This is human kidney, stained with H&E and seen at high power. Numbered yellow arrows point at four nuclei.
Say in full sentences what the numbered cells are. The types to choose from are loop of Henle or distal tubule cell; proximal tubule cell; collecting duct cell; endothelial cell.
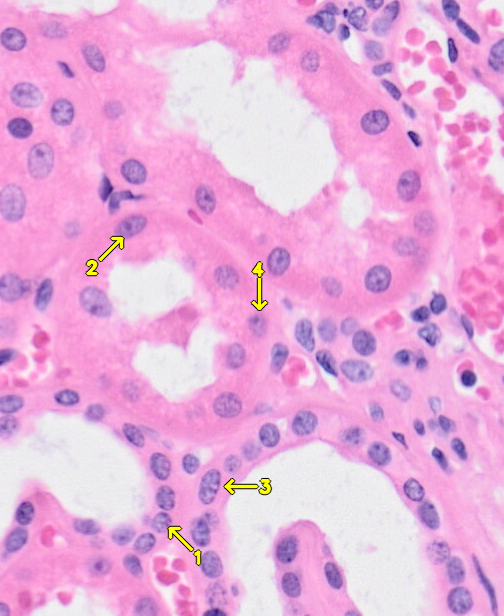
Cell 1 is a collecting duct cell, cell 2 is a proximal tubule cell, cell 3 is a collecting duct cell and cell 4 is a proximal tubule cell.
